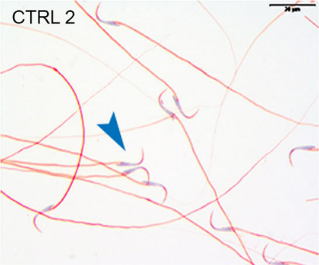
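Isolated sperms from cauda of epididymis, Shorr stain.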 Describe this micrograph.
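Scattered single cells lie on a pale background, each with a small curved, hook-shaped head stained bluish-purple and a very long, thin tail stained pink to red. The tails are many times longer than the heads and cross one another in loose curves. The heads look alike in shape, with no obvious bent or detached heads among them.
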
